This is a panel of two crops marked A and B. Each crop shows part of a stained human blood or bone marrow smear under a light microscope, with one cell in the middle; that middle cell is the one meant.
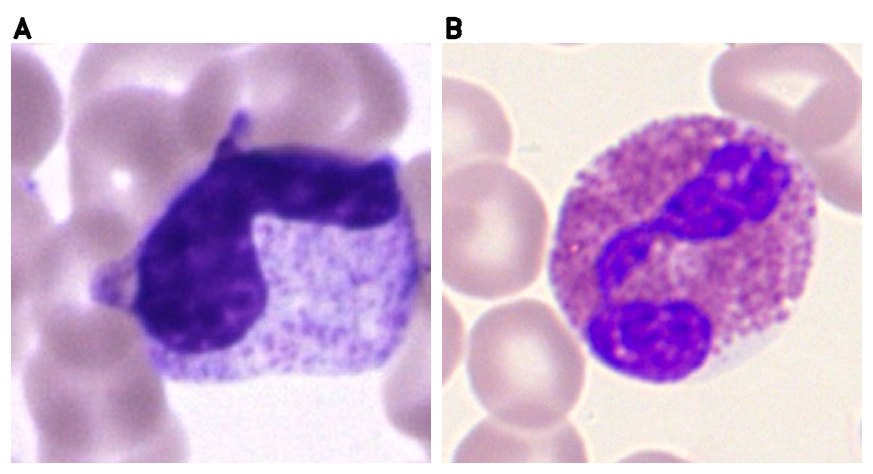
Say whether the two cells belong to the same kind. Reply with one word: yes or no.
no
